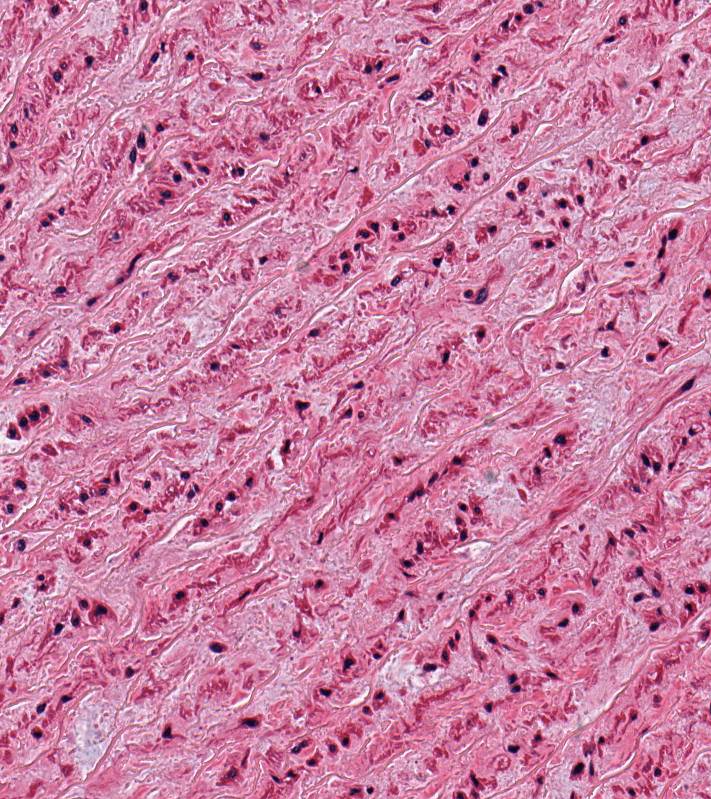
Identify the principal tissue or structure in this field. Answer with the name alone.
tunica media of an artery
